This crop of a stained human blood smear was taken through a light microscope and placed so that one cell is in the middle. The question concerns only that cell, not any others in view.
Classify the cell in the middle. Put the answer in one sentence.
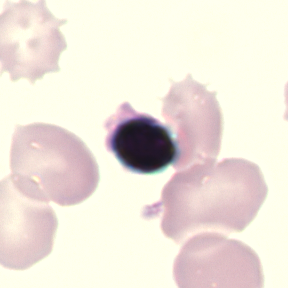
The crop centres on a single cell, and that cell is a normoblast.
